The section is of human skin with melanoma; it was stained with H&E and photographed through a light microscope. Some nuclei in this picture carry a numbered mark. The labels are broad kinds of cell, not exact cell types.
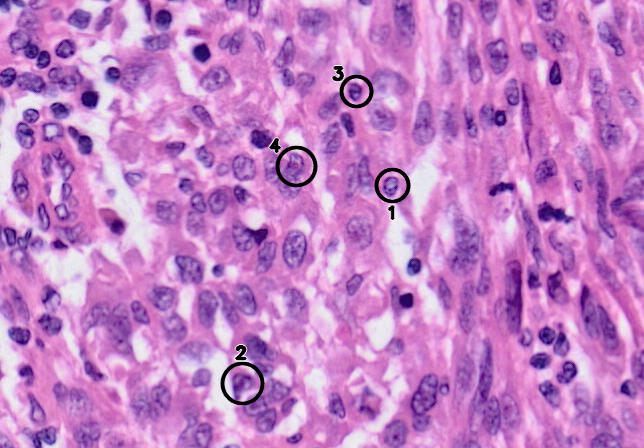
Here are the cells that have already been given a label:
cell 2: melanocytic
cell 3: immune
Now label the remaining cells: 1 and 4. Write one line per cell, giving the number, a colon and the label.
1: immune
4: melanocytic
